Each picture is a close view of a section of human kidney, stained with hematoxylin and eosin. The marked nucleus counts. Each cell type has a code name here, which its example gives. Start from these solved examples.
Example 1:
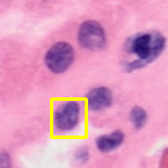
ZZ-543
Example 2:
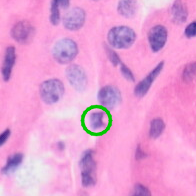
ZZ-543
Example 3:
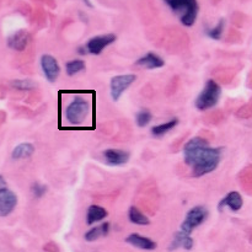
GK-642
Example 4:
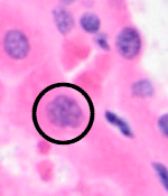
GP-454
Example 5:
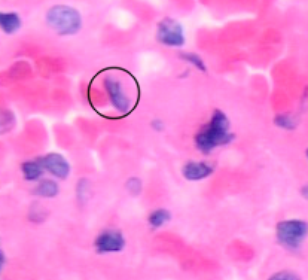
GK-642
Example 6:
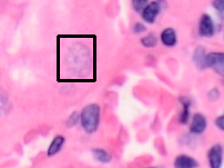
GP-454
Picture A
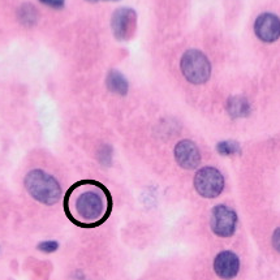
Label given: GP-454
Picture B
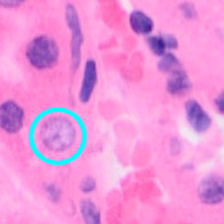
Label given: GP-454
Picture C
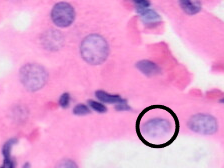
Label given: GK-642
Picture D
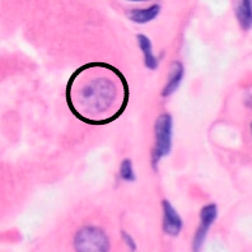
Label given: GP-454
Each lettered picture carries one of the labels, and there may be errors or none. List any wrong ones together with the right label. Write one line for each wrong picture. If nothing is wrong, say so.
C: not GK-642 but ZZ-543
